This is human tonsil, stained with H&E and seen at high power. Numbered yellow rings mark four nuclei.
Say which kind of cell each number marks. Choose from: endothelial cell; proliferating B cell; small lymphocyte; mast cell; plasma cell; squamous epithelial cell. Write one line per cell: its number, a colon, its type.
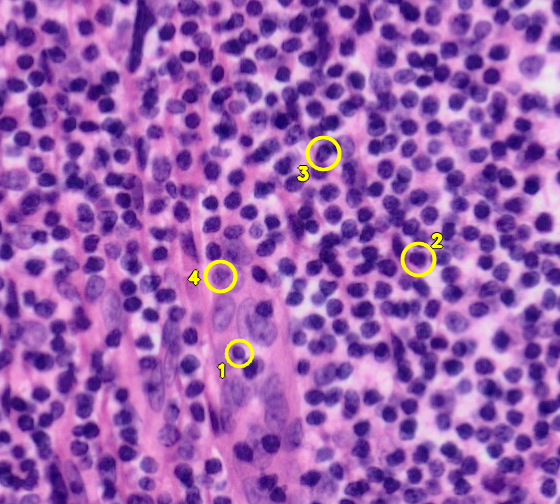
1: endothelial cell
2: small lymphocyte
3: small lymphocyte
4: endothelial cell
